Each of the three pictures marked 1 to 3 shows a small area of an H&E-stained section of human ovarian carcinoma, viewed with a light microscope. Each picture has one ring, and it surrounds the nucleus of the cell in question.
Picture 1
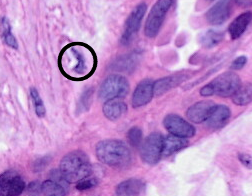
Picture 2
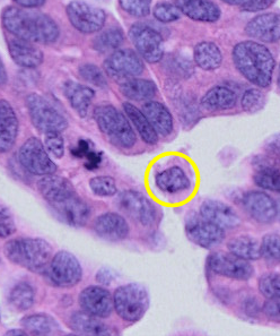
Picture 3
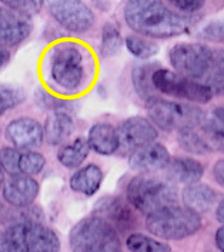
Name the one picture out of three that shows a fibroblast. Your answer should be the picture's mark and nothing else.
1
